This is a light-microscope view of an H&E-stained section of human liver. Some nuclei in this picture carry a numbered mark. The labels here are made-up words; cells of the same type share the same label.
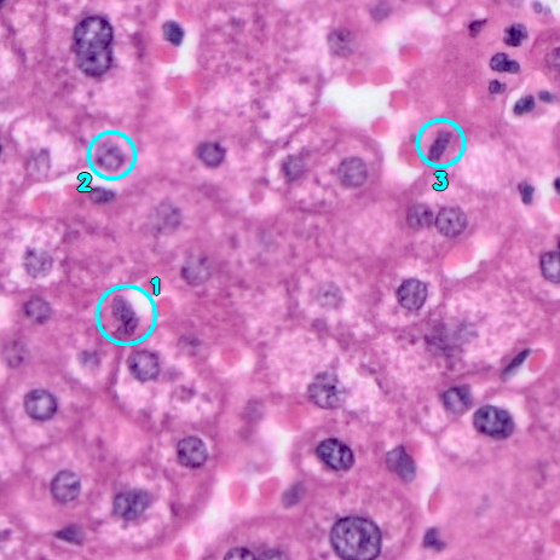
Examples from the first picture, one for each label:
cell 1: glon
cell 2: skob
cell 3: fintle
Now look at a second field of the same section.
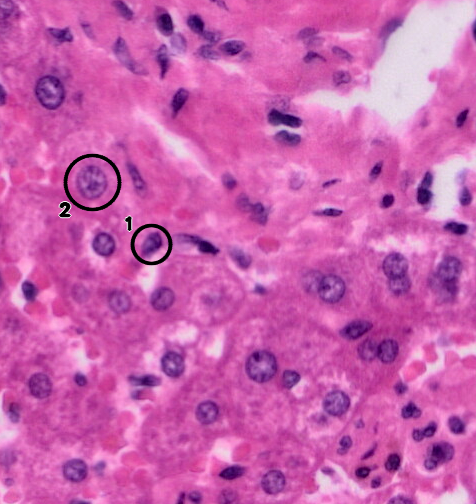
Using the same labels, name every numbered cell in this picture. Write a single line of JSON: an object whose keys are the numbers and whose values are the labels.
{"1": "fintle", "2": "skob"}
